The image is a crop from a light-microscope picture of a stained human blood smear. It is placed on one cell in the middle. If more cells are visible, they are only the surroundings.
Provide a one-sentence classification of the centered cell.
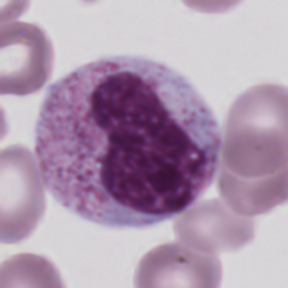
The cell in the middle of the field of view is a metamyelocyte.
